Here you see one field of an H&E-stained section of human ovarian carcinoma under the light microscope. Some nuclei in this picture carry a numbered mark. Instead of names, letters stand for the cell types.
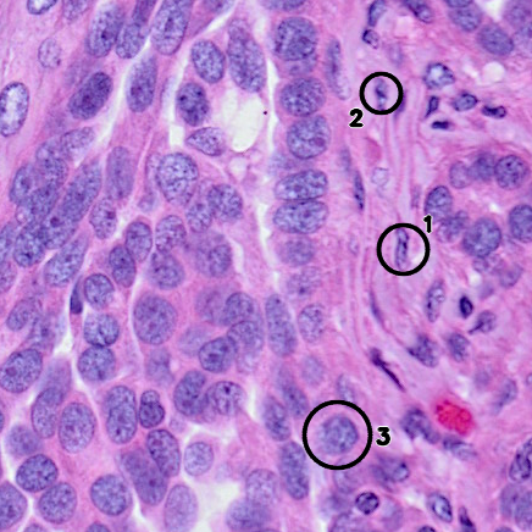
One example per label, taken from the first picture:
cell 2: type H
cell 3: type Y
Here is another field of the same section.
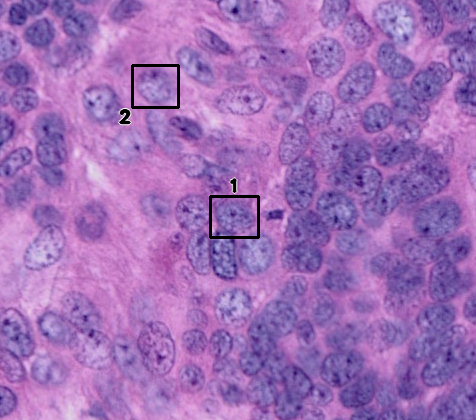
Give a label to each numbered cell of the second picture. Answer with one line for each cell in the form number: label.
1: type Y
2: type H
